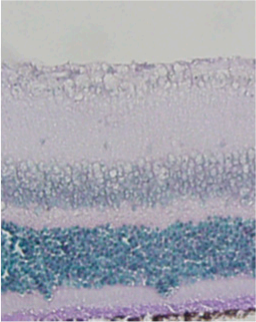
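This is a cross-section of the retina with its layers stacked from top to bottom. At the top lies the ganglion cell layer with sparse nuclei, then the broad pale inner plexiform layer, a band of blue-green nuclei forming the inner nuclear layer, and a thin pale outer plexiform layer. Below that, the thick outer nuclear layer is packed densely with blue-green nuclei, and no dark purple nuclei stand out among them.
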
